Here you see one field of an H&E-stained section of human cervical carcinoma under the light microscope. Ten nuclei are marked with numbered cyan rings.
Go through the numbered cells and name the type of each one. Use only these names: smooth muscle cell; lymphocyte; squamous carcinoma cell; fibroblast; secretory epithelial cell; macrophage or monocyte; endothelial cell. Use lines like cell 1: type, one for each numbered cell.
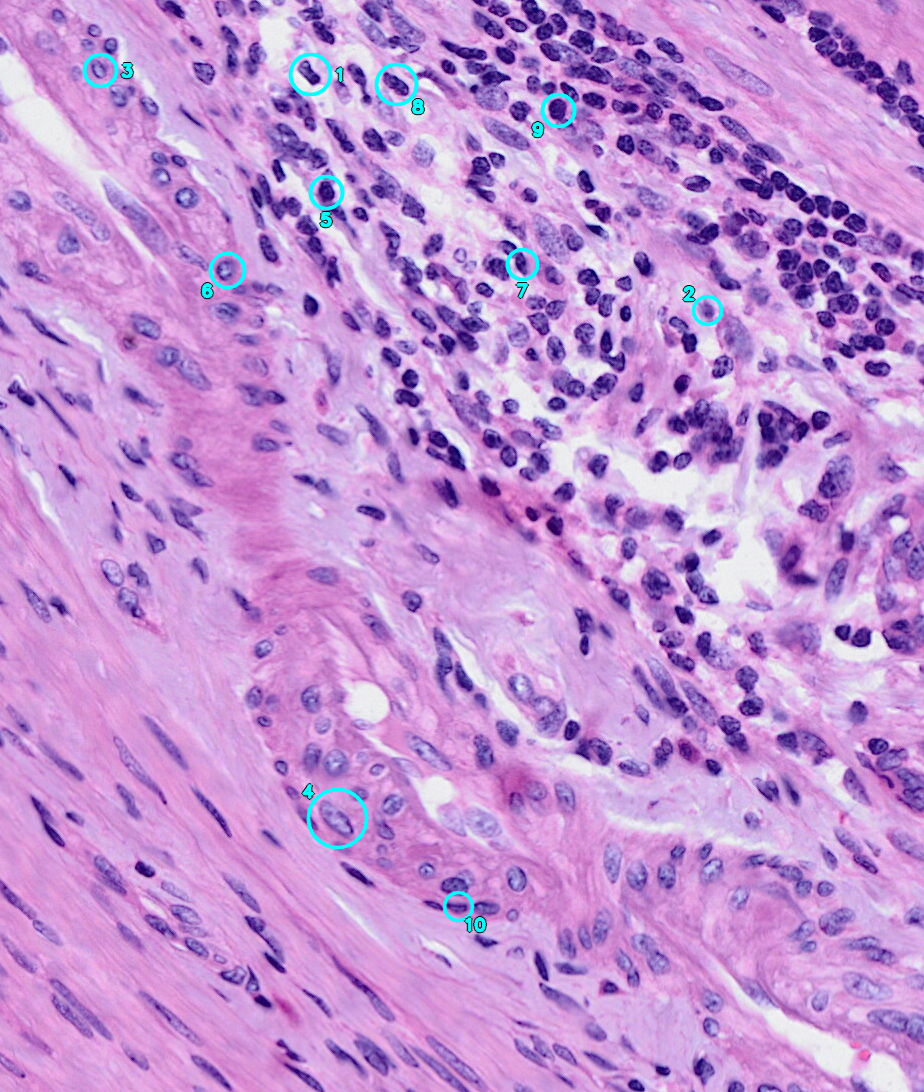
cell 1: lymphocyte
cell 2: lymphocyte
cell 3: smooth muscle cell
cell 4: smooth muscle cell
cell 5: lymphocyte
cell 6: smooth muscle cell
cell 7: lymphocyte
cell 8: lymphocyte
cell 9: lymphocyte
cell 10: smooth muscle cell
